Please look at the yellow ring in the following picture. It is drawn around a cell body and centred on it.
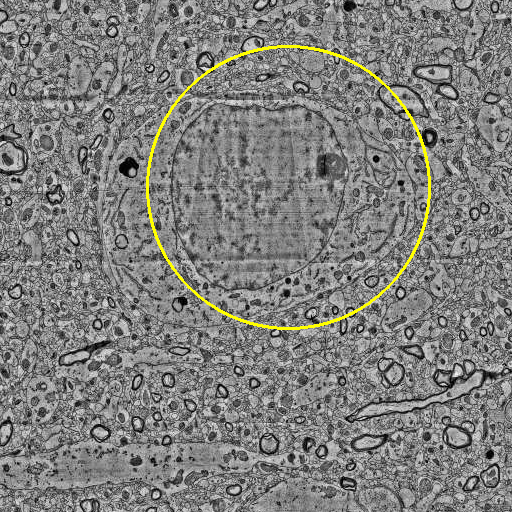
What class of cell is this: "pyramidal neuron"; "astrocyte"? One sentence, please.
The ring surrounds the cell body of a pyramidal neuron.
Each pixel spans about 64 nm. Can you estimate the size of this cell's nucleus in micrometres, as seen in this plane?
In this plane, the nucleus of the cell at the centre of the ring is about 12 micrometres across.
